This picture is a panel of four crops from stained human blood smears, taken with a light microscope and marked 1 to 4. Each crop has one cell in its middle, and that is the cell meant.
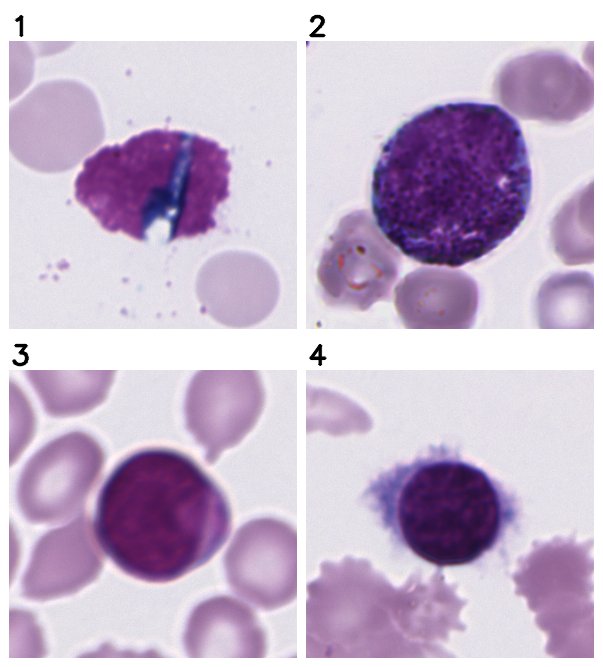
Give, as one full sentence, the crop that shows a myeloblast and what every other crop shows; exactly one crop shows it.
Crop 3 is best given as a myeloblast, while crop 1 is a smudge cell, crop 2 is a promyelocyte and crop 4 is a hairy cell.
